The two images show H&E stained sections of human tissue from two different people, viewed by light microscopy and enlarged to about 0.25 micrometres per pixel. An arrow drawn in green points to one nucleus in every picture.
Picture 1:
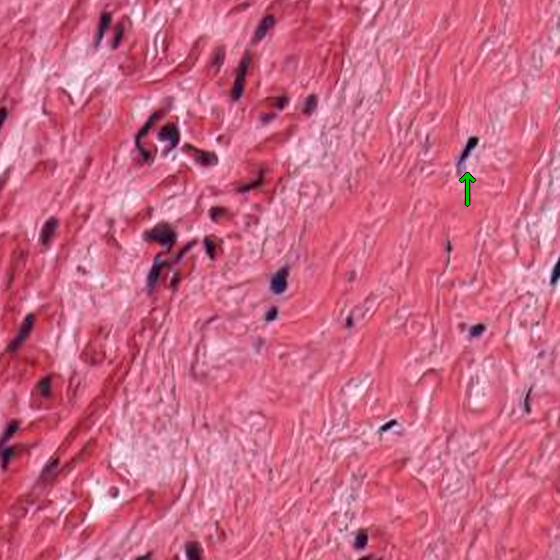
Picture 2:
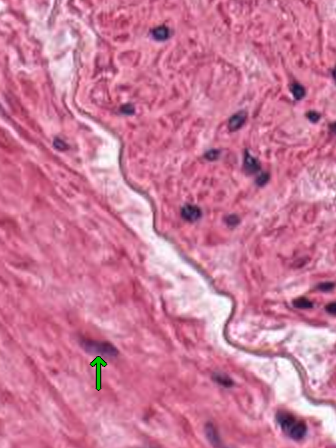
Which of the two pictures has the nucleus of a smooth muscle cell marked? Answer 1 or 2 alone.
2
